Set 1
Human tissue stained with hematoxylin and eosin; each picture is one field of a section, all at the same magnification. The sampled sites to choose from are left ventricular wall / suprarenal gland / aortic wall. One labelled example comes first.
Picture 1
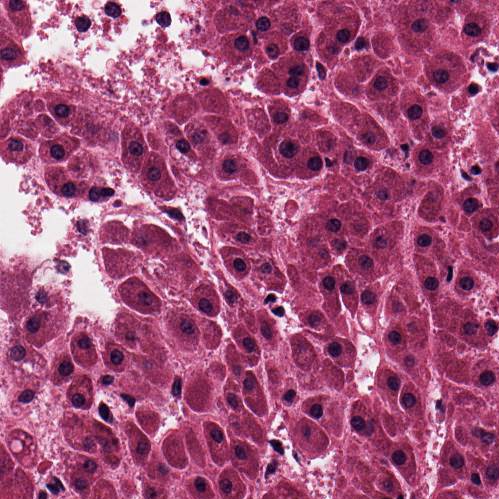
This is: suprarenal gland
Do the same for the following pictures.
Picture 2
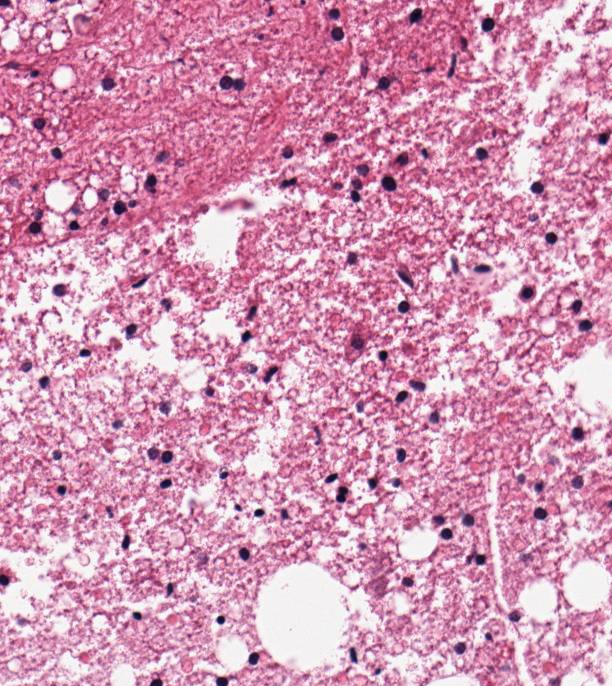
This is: suprarenal gland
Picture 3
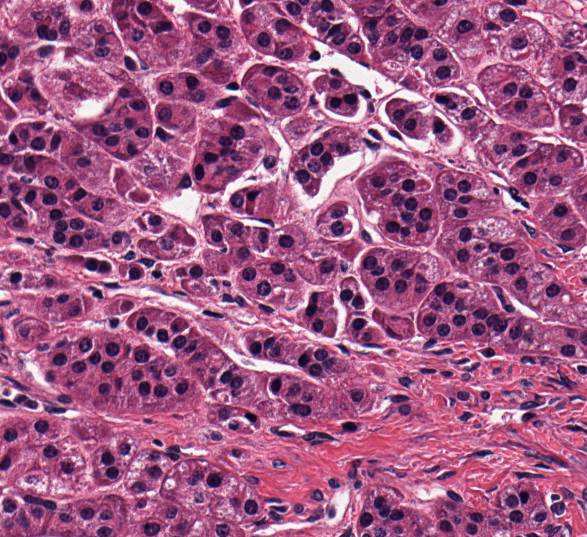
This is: suprarenal gland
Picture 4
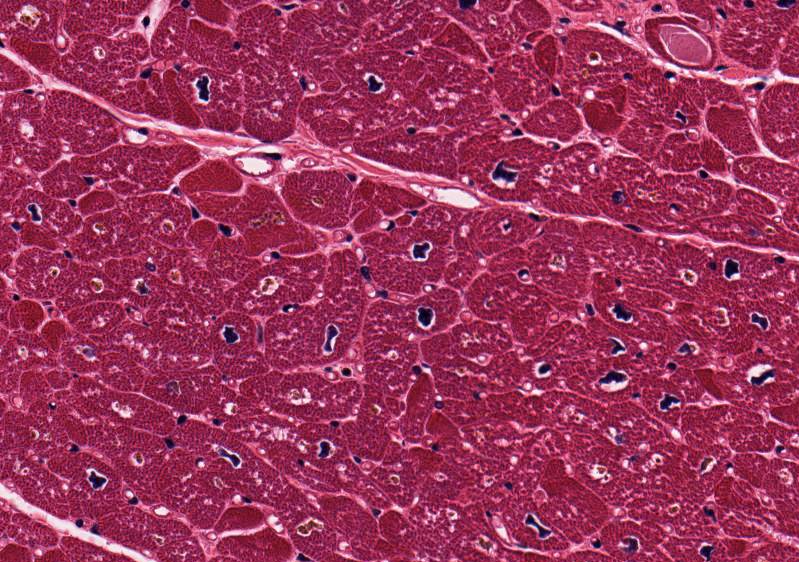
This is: left ventricular wall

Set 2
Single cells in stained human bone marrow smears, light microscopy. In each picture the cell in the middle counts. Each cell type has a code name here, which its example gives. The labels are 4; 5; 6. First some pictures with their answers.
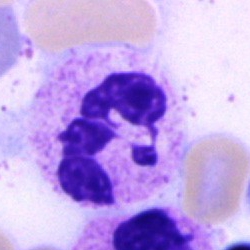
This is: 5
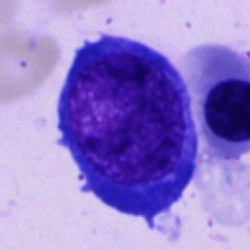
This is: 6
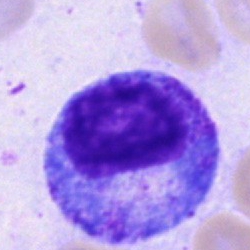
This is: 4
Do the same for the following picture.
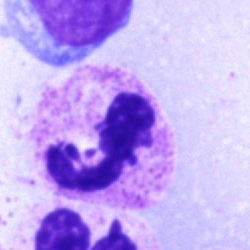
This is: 5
